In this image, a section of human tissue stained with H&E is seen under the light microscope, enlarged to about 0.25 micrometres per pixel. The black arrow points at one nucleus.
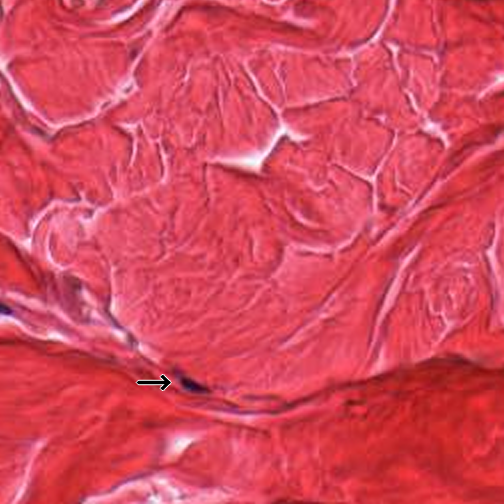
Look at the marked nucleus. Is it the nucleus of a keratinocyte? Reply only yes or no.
no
